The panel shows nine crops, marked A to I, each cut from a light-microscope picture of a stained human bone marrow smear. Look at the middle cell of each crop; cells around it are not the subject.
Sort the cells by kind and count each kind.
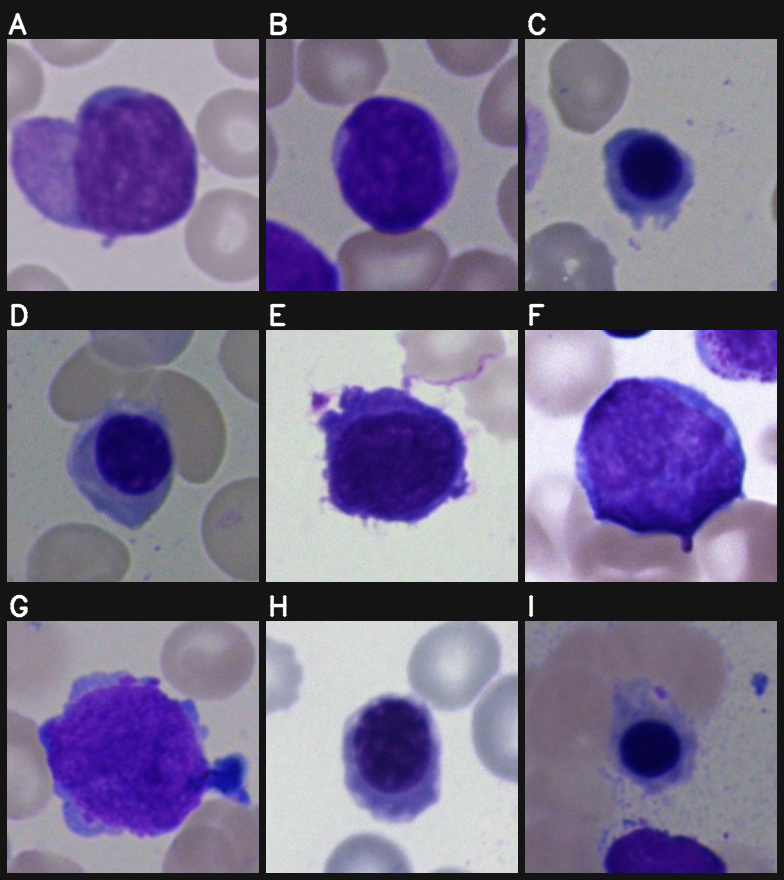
blast: 5
erythroblast: 4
